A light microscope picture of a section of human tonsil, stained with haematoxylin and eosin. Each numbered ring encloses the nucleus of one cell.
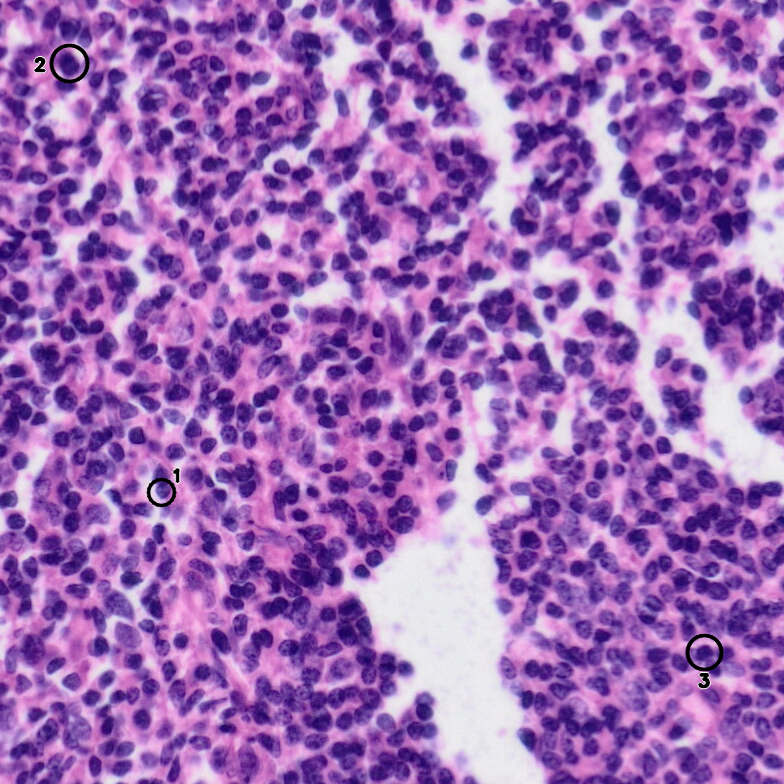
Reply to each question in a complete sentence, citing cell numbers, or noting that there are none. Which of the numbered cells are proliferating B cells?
Just one numbered cell is a proliferating B cell, and that cell is number 2.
